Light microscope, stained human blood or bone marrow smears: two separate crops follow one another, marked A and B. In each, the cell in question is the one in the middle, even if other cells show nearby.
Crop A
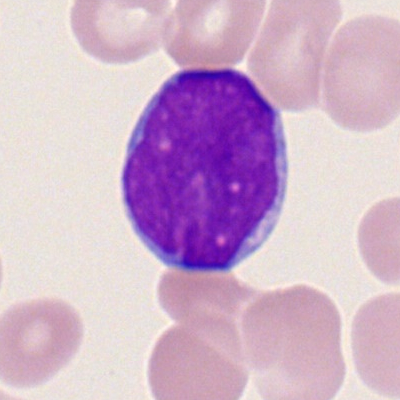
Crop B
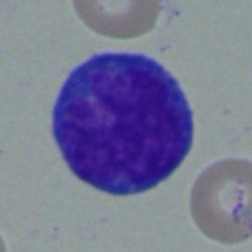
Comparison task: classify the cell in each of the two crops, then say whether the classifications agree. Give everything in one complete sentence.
Yes, both crops show blasts in their central position.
